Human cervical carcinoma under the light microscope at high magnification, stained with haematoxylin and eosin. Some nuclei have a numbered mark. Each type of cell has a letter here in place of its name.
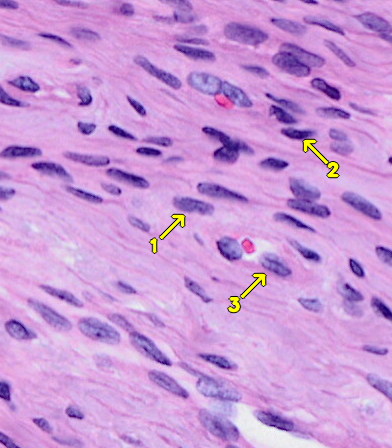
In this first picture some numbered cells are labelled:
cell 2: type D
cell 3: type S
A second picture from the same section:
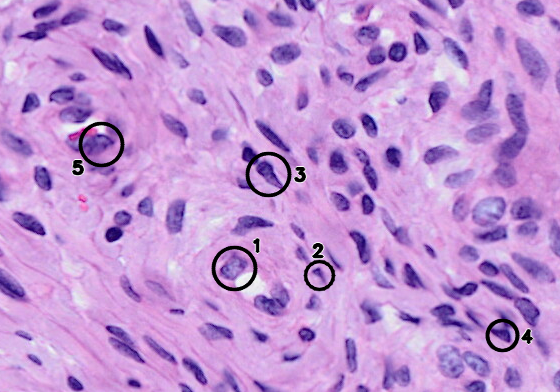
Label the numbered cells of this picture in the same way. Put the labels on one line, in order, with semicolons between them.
type S; type D; type D; type D; type S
